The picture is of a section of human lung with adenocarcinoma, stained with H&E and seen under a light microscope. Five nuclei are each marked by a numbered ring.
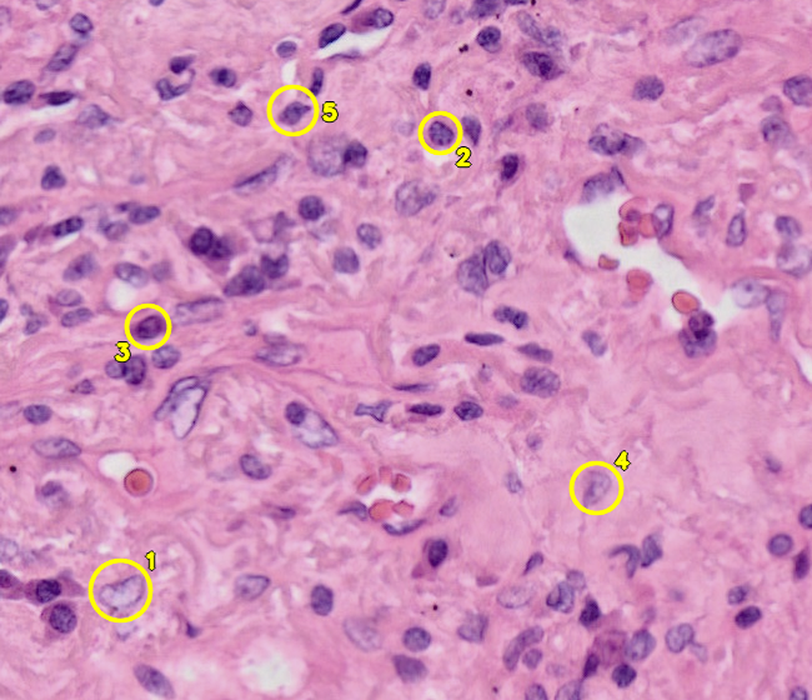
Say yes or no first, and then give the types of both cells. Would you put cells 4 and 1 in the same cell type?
Yes, cells 4 and 1 both belong to the category of fibroblasts.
